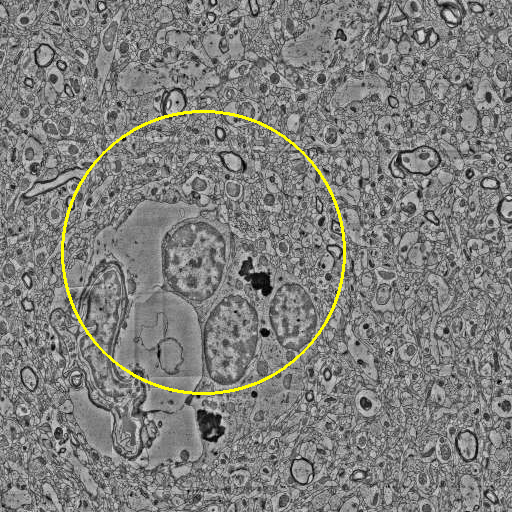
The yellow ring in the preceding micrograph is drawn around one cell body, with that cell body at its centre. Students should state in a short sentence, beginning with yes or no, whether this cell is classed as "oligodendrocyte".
Yes, this cell is of that type.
